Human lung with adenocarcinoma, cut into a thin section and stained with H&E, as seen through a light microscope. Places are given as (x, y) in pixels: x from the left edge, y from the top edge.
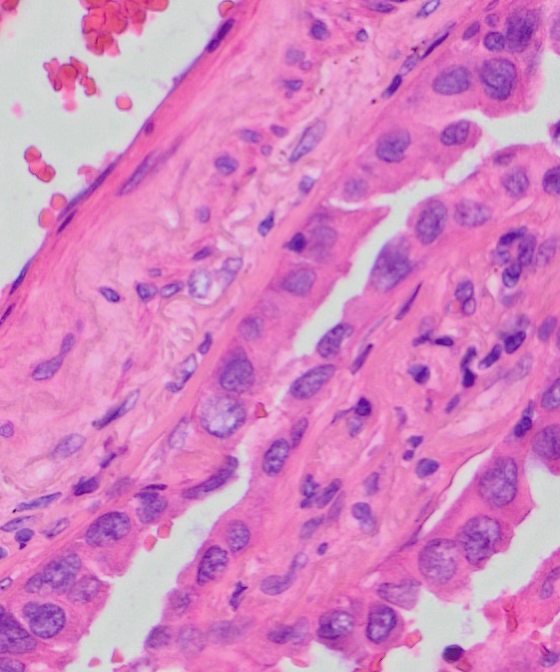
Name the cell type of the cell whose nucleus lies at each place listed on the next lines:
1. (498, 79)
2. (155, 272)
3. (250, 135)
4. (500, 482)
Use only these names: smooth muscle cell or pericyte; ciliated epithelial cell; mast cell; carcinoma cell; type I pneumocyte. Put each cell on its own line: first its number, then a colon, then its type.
1: carcinoma cell
2: smooth muscle cell or pericyte
3: smooth muscle cell or pericyte
4: carcinoma cell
